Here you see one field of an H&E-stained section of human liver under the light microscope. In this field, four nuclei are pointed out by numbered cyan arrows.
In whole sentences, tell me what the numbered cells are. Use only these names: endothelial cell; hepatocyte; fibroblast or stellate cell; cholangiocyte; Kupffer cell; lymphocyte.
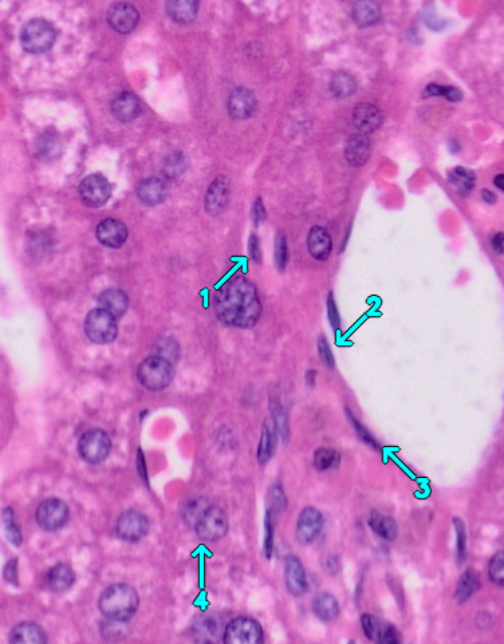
Cells 1, 2 and 3 are fibroblasts or stellate cells. Cell 4 is a hepatocyte.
